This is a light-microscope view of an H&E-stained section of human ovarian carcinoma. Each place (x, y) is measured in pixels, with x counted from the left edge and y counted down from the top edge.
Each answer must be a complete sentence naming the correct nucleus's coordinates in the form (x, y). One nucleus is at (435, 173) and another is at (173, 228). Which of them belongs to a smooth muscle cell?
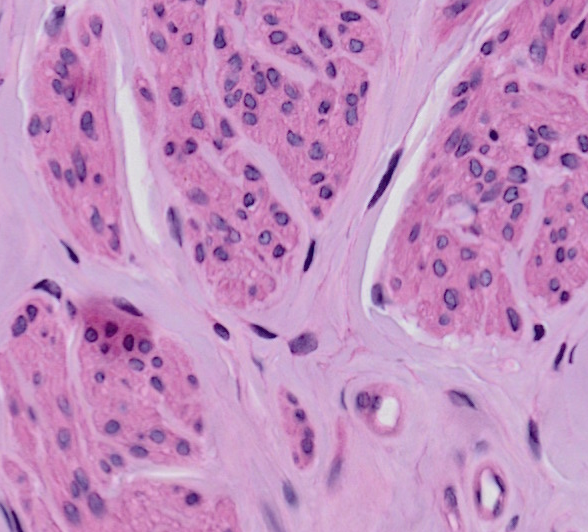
Identify the nucleus at (435, 173) as the one belonging to a smooth muscle cell.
